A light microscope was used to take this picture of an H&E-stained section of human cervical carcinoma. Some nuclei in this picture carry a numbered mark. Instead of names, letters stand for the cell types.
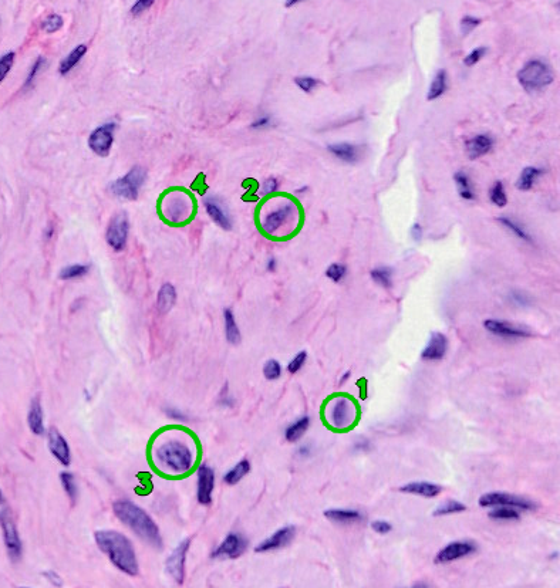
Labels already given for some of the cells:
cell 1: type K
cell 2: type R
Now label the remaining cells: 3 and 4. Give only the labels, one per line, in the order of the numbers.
type K
type R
